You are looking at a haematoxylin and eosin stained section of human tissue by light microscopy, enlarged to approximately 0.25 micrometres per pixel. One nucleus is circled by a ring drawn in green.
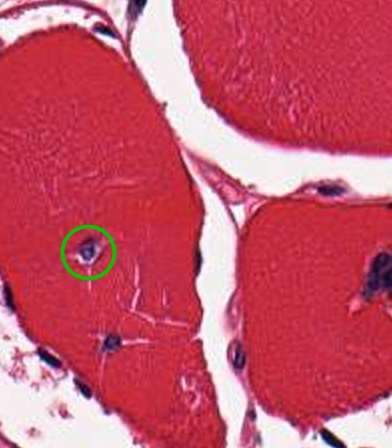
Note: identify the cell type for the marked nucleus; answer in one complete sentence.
The marked nucleus forms part of a skeletal muscle fibre.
